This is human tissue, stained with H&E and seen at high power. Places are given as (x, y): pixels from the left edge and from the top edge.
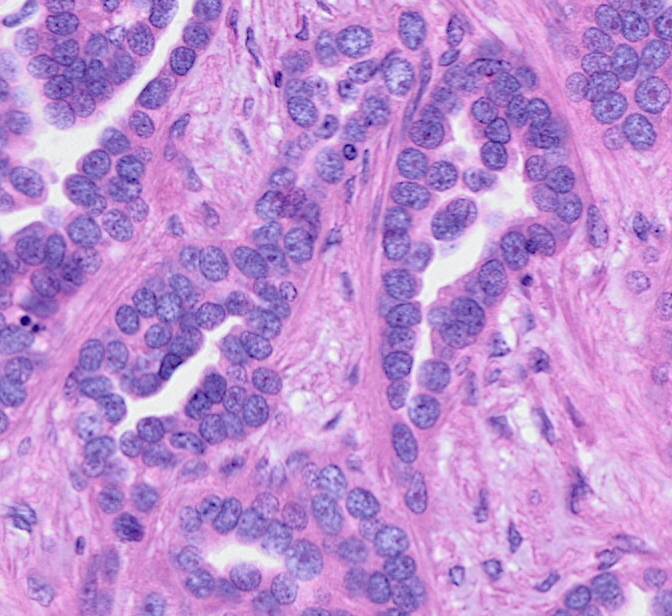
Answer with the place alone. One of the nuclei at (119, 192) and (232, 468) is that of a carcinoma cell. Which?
(119, 192)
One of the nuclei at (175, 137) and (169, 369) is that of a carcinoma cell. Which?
(169, 369)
